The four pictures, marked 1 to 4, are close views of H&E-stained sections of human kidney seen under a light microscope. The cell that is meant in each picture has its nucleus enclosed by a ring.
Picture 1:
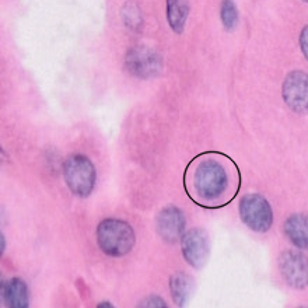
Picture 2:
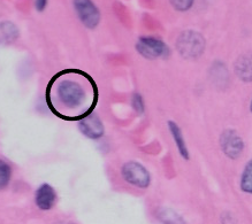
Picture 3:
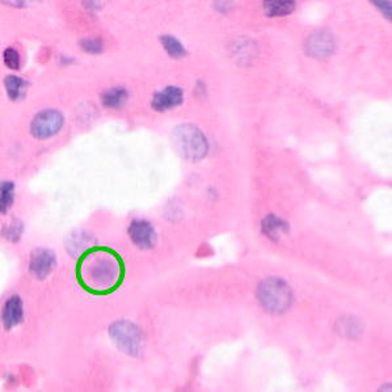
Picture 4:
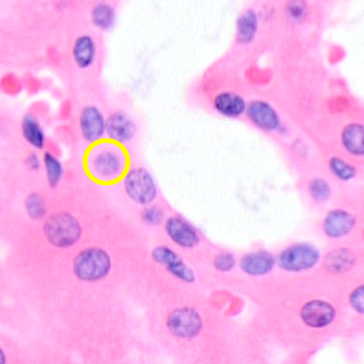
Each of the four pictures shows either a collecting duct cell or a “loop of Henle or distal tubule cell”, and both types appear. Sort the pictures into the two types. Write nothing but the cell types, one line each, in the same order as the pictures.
loop of Henle or distal tubule cell
loop of Henle or distal tubule cell
loop of Henle or distal tubule cell
collecting duct cell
